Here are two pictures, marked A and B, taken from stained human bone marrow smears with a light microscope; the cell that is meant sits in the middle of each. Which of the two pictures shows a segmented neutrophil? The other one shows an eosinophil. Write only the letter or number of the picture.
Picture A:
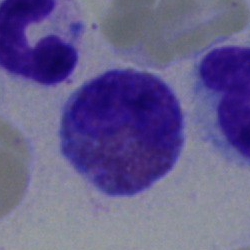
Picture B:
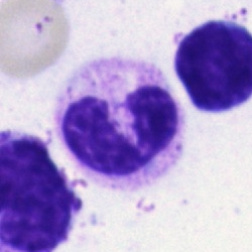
B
